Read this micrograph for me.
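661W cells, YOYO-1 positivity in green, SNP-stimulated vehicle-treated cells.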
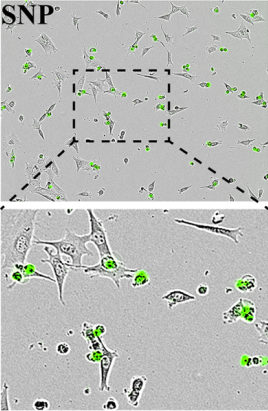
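Unlabelled cells are flat and spread, polygonal to spindle-shaped, with thin processes and visible nuclei. The rounded labelled cells lie scattered singly or in small clusters among the spread cells.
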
